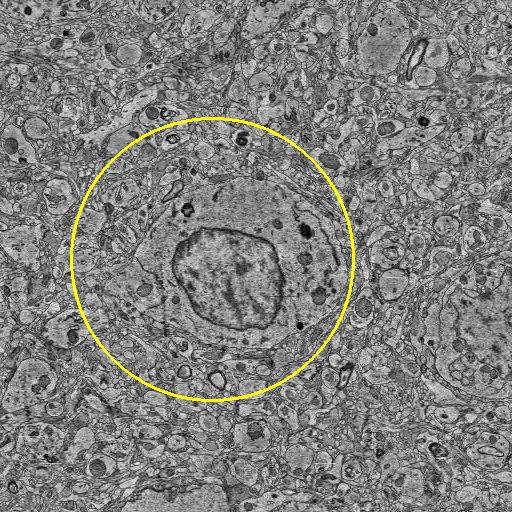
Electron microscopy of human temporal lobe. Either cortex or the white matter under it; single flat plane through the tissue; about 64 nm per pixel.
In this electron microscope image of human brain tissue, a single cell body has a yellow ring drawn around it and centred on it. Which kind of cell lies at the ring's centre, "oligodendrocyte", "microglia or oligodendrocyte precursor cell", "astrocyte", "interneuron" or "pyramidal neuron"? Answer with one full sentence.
It is a pyramidal neuron whose cell body lies at the centre of the yellow ring here.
